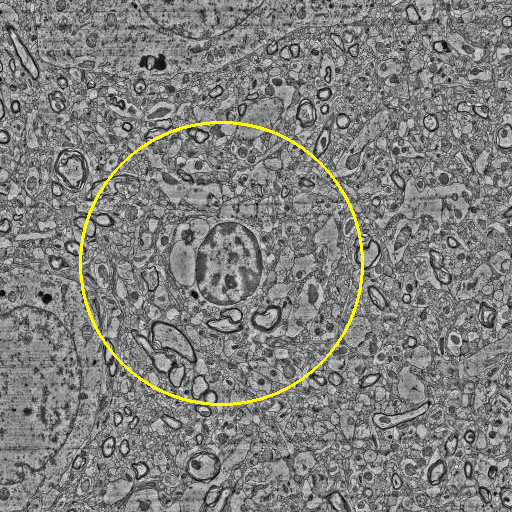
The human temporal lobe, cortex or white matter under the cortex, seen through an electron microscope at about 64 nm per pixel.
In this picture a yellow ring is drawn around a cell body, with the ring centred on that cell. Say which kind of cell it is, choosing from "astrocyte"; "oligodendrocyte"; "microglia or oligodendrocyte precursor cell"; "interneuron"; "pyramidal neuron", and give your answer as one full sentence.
Here it is a microglial cell or oligodendrocyte precursor cell that sits at the centre of the drawn yellow ring.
